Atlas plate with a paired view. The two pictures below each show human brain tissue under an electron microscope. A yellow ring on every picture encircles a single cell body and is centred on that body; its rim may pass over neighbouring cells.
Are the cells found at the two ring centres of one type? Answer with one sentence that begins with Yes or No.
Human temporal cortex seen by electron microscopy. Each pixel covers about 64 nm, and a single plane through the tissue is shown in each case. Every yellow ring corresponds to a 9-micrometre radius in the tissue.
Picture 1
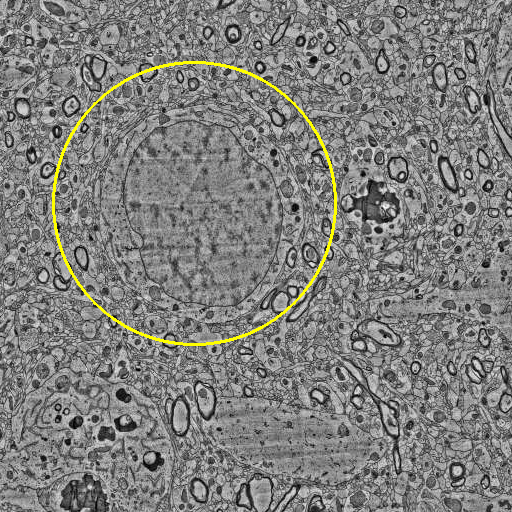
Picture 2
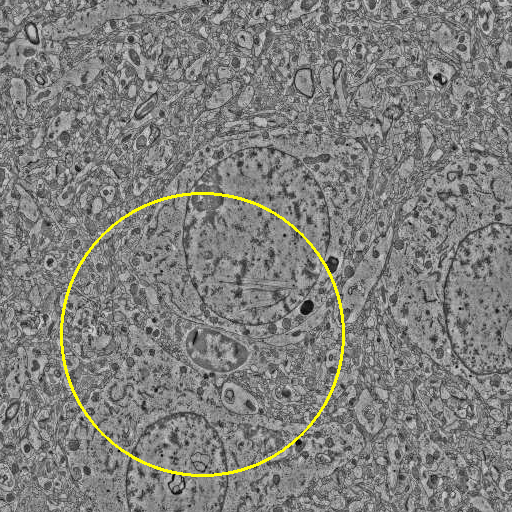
No, the two cells lying at the centres of the rings are of two types.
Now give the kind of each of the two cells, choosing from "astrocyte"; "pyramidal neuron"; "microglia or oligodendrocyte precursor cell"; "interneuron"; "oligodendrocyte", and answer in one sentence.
The cell in the first picture is a pyramidal neuron, and the cell in the second is a microglial cell or oligodendrocyte precursor cell.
